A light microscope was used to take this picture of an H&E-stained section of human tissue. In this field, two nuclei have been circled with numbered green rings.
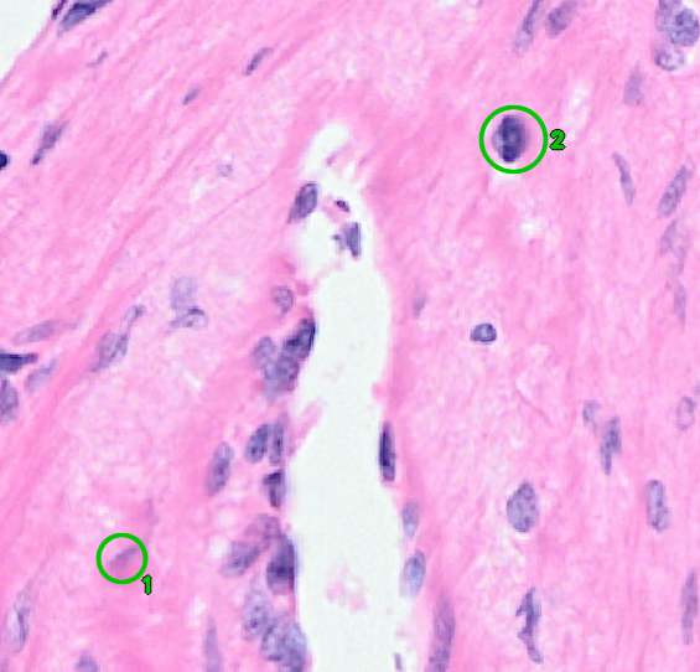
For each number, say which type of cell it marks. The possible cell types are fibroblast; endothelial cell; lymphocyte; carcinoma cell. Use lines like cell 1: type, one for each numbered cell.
cell 1: fibroblast
cell 2: lymphocyte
